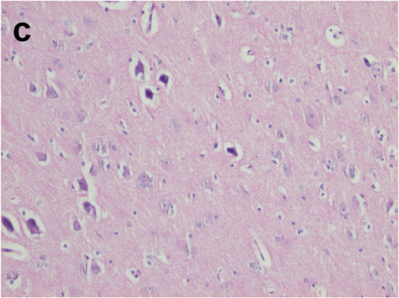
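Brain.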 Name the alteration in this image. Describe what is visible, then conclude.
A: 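Shrunken and dark neurons. A few cell bodies are smaller and much darker purple than the others. Paler, larger cell bodies lie among them.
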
